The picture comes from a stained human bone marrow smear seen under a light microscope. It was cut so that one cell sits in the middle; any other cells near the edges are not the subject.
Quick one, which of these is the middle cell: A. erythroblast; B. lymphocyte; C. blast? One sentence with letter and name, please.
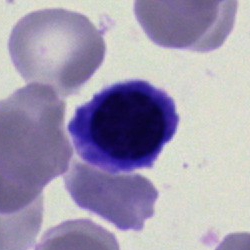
That cell in the center is an erythroblast, hence option A.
